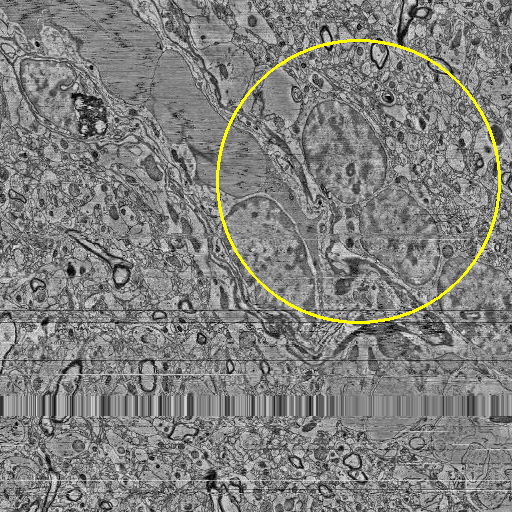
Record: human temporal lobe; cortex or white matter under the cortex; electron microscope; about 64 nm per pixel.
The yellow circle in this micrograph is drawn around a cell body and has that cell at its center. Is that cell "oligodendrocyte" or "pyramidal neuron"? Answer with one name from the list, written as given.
oligodendrocyte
